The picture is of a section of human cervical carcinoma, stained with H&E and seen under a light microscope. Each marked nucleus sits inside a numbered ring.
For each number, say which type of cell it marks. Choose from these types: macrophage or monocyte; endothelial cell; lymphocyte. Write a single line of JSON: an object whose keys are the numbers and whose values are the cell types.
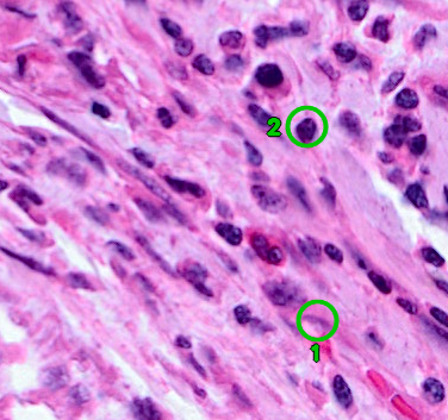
{"1": "endothelial cell", "2": "lymphocyte"}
